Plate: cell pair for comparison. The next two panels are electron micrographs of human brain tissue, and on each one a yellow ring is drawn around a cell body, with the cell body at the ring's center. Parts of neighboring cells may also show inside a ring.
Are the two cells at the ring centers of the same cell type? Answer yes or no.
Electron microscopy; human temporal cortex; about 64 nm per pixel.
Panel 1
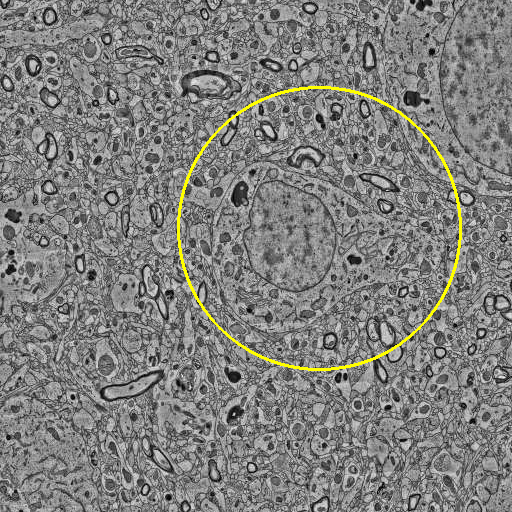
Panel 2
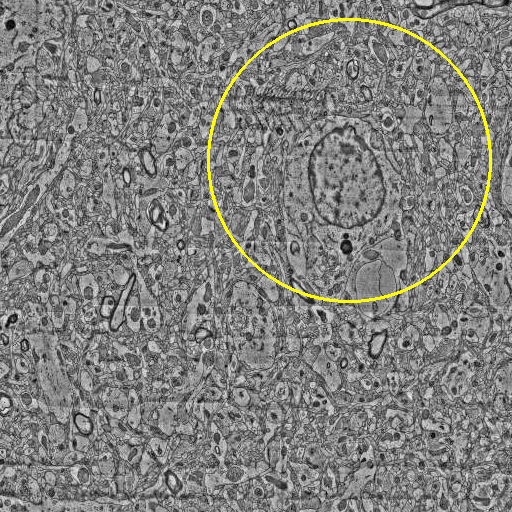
yes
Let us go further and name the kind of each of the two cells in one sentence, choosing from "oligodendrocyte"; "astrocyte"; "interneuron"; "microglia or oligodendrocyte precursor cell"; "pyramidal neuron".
Each of the two pictures has a pyramidal neuron at the ring centre.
